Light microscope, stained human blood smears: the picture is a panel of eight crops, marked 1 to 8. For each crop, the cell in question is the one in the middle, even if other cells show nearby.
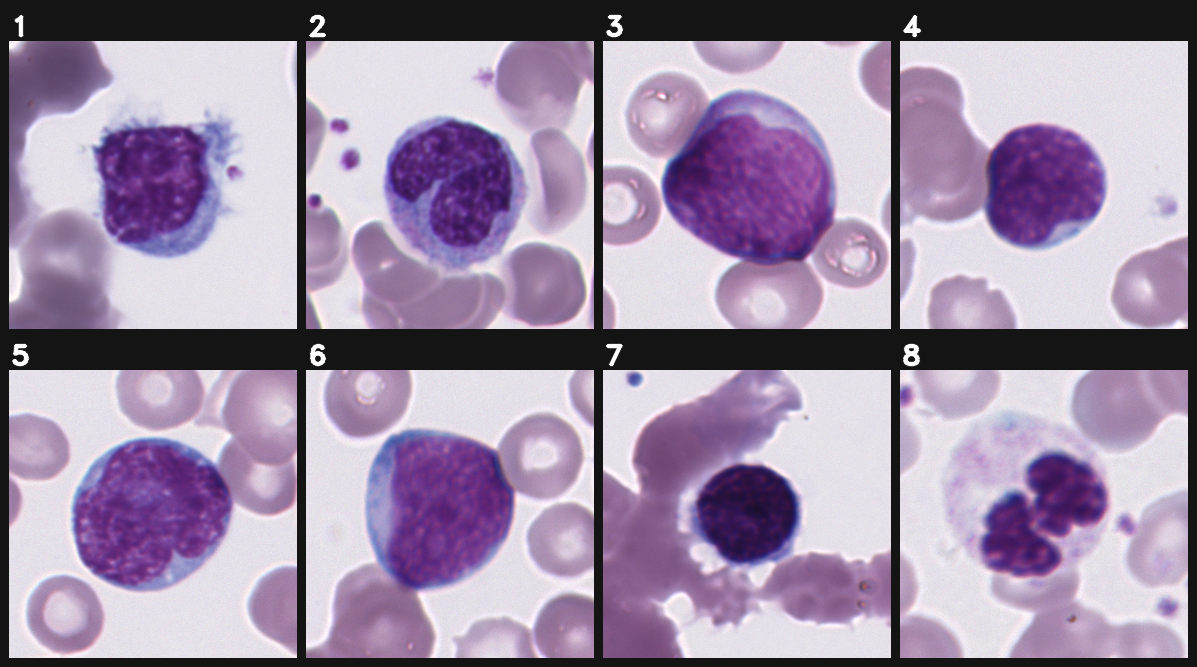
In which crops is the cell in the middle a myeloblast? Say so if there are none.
4, 5, 6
